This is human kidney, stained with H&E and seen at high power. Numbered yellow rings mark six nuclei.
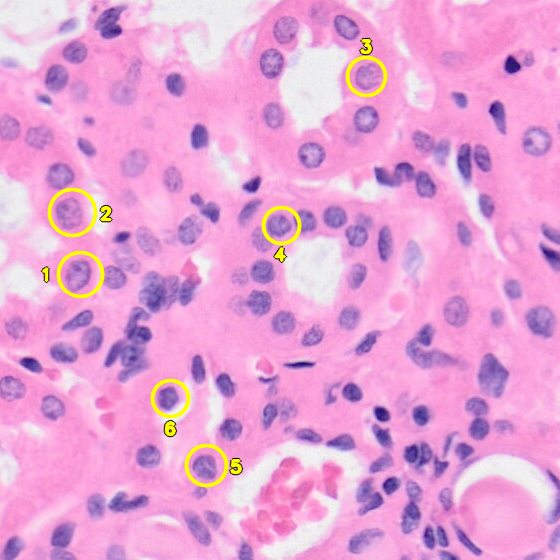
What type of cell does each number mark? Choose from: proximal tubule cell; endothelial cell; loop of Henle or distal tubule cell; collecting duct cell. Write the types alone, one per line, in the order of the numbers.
proximal tubule cell
proximal tubule cell
proximal tubule cell
collecting duct cell
loop of Henle or distal tubule cell
loop of Henle or distal tubule cell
